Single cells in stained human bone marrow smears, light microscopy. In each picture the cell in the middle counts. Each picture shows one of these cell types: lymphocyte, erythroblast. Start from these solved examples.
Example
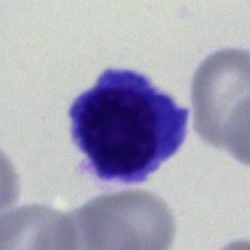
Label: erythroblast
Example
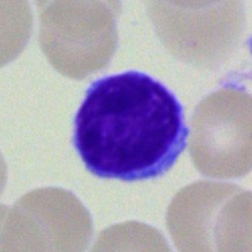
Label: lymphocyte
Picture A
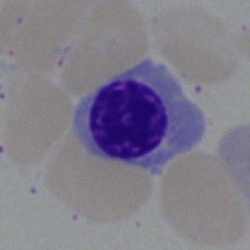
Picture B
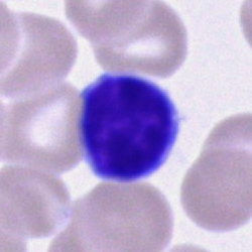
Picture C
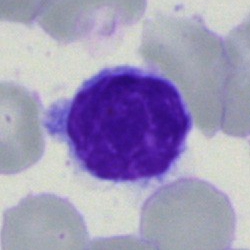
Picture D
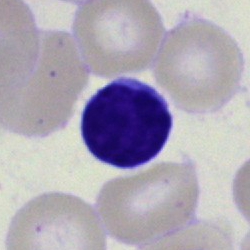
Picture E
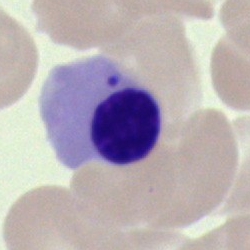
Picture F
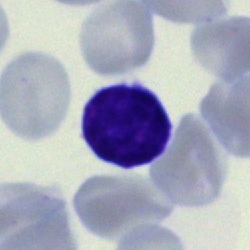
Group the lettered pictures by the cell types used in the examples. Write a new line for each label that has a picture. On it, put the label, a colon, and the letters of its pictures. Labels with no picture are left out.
lymphocyte: B, C, D, F
erythroblast: A, E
